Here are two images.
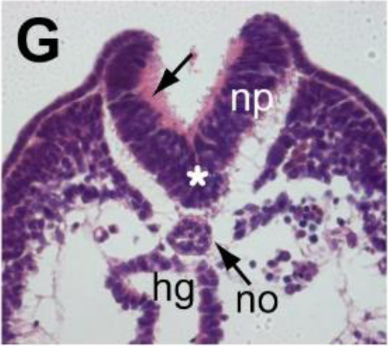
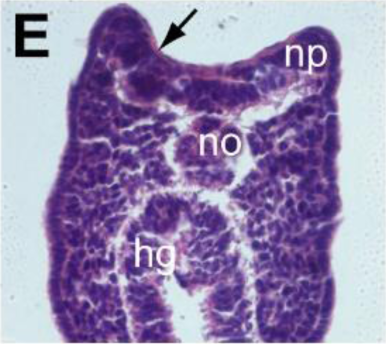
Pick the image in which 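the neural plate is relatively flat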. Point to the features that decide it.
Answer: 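The second image. First image: the neural plate is folded into a deep V with raised folds on both sides. Second image: the neural plate lies as a broad, nearly flat sheet across the dorsal surface.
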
